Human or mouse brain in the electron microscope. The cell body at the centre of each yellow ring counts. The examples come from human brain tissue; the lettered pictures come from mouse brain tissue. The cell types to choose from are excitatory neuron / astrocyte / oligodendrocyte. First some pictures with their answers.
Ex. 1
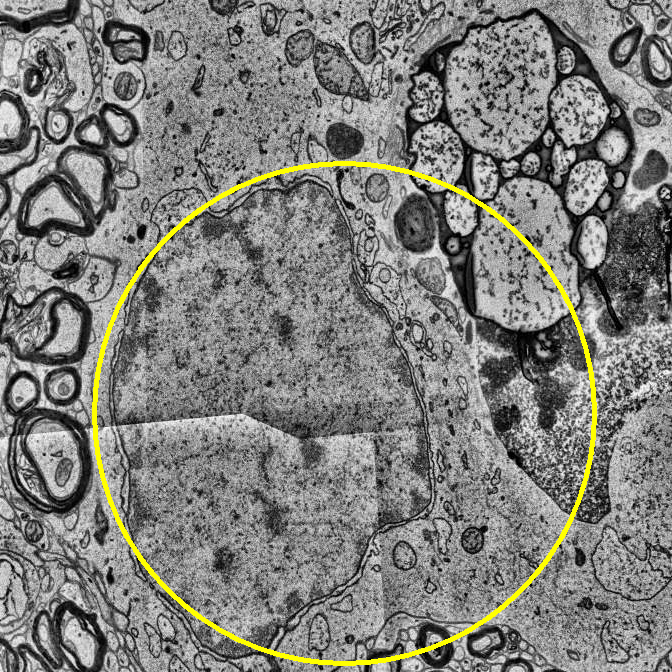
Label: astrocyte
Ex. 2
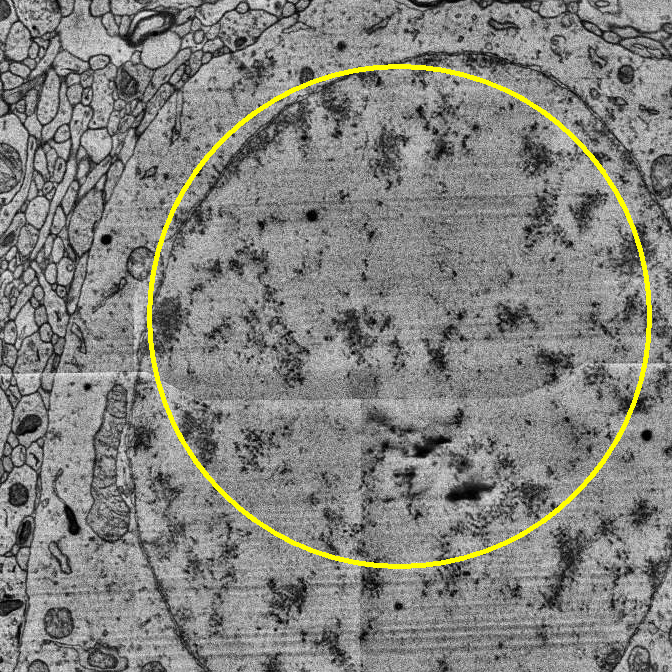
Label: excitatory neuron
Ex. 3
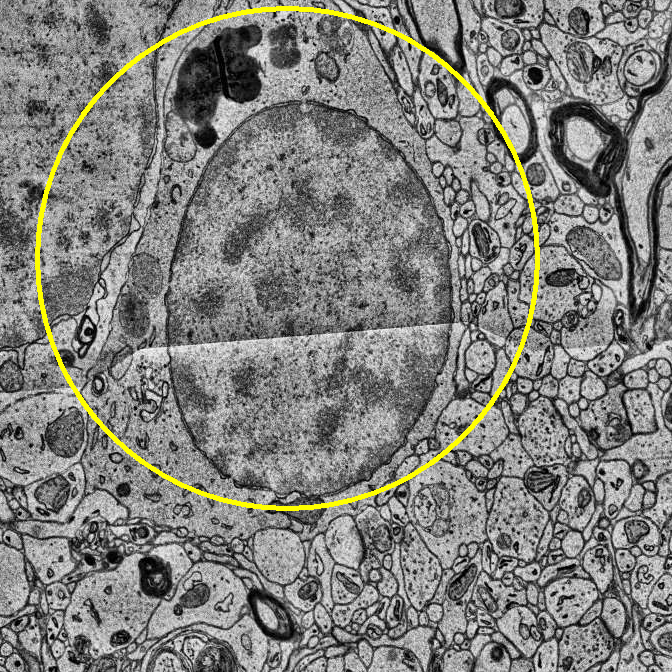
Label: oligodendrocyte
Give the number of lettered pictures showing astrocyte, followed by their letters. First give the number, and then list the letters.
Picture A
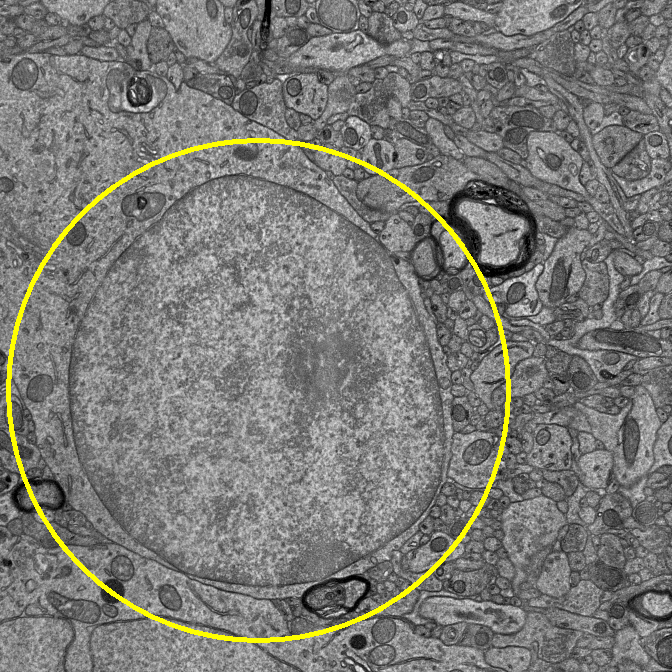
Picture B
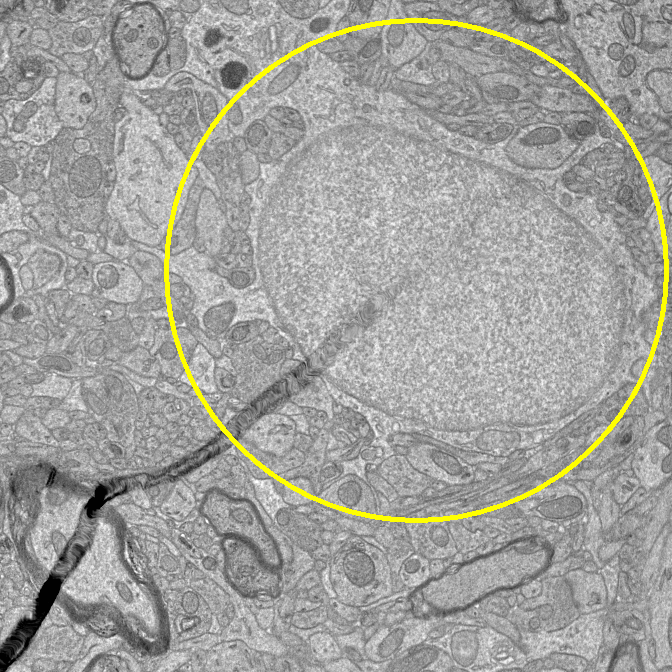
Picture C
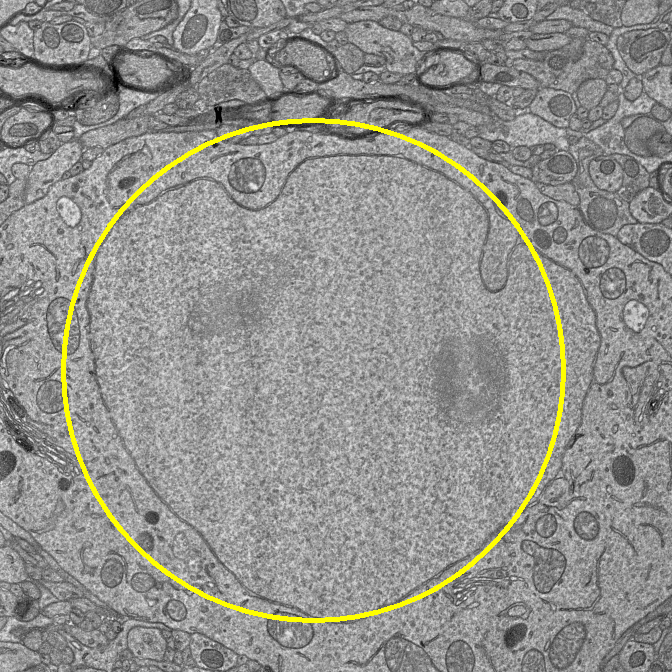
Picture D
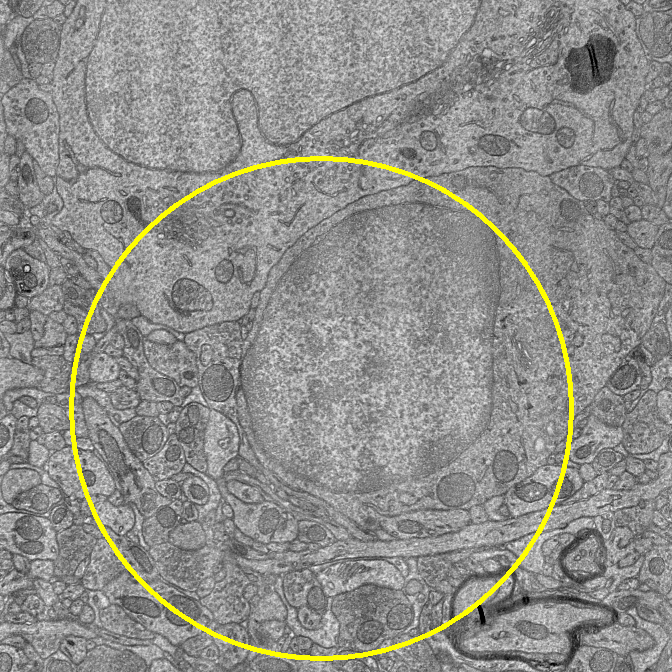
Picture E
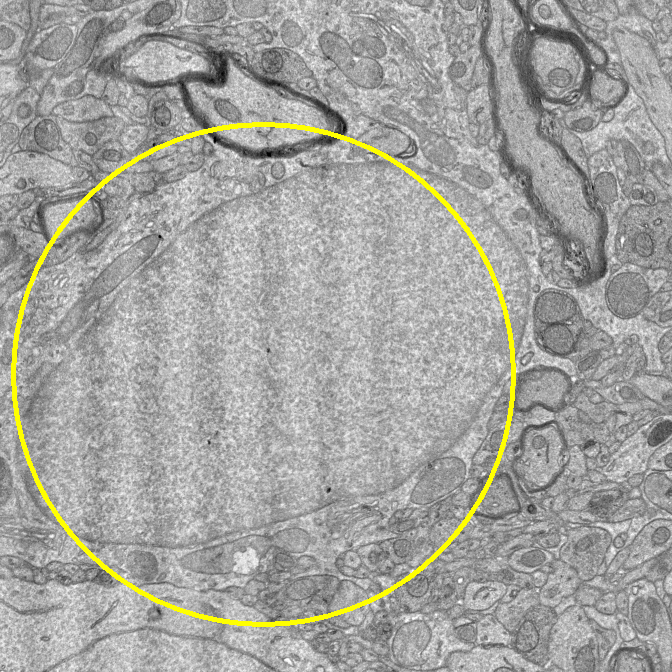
2: B, E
